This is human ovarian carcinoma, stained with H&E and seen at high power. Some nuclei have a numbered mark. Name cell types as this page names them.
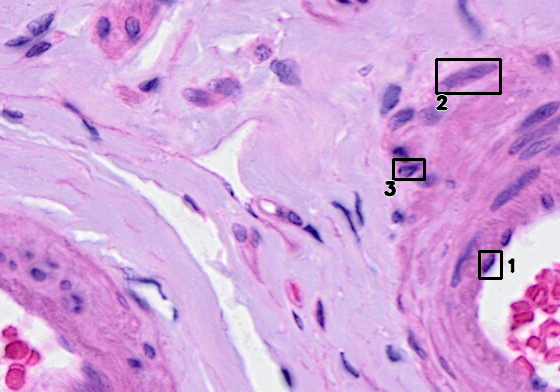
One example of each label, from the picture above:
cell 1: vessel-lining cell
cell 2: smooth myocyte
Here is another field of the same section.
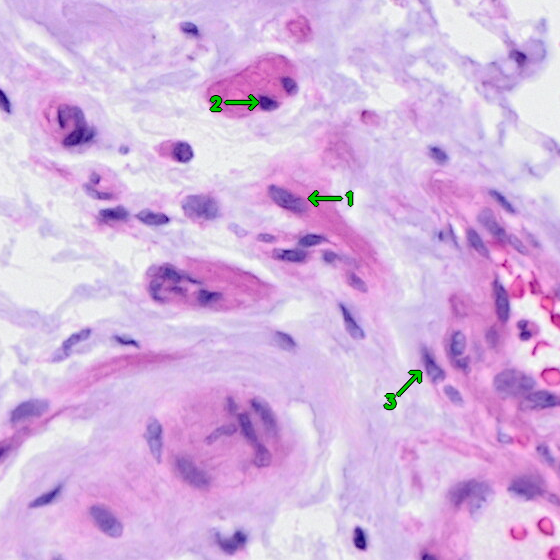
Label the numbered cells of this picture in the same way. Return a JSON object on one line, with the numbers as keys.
{"1": "smooth myocyte", "2": "smooth myocyte", "3": "vessel-lining cell"}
